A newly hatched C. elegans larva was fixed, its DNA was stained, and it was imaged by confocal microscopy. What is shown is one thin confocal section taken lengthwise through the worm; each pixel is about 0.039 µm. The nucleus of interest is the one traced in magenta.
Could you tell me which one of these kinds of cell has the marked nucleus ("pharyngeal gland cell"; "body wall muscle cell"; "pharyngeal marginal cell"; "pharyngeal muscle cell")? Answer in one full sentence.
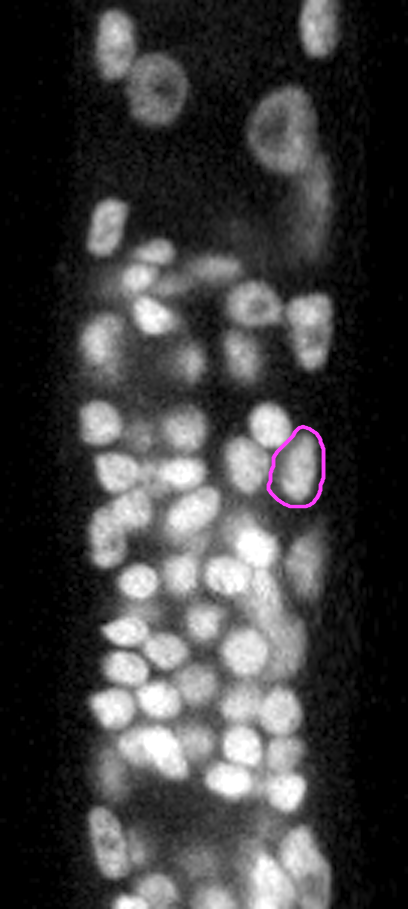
The nucleus comes from a body wall muscle cell.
